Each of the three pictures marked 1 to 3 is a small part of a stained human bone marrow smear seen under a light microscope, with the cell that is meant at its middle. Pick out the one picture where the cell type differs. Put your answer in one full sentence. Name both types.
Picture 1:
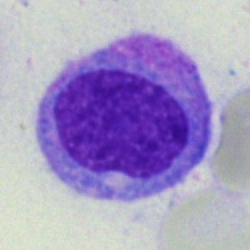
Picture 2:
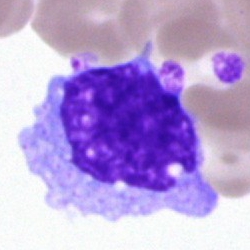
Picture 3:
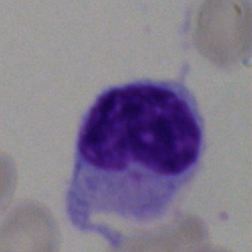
Picture 3 is the odd one out: it shows a hairy cell, while the others show monocytes.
